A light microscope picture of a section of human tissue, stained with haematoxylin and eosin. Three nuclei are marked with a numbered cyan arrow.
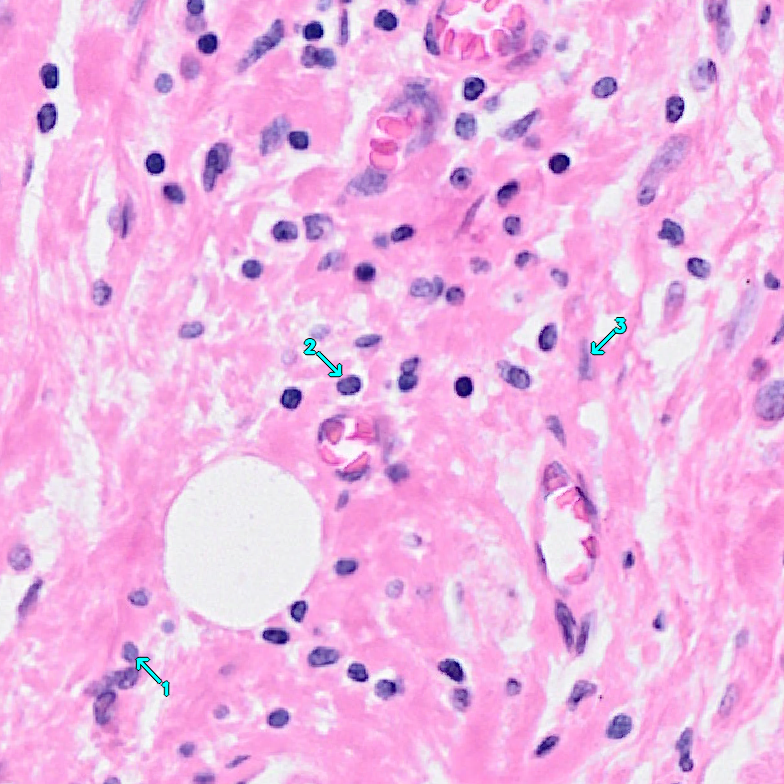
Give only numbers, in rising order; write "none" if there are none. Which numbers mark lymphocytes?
1, 2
